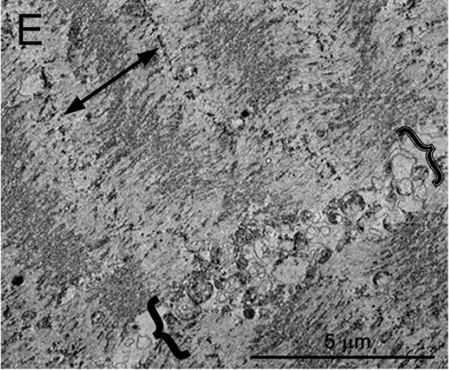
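In the upper and left parts, bands of densely packed myofilaments still form sarcomeres, but the dark transverse Z-disc lines that should bound them are faint and broken, and the bands look broad and ragged. Toward the lower right, the ordered filaments give way to a patch crowded with irregular membrane-bound profiles, vesicles and rounded organelles of varied size. These clusters of damaged organelles sit where contractile material would normally lie, so the regular striated pattern of healthy muscle is interrupted.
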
